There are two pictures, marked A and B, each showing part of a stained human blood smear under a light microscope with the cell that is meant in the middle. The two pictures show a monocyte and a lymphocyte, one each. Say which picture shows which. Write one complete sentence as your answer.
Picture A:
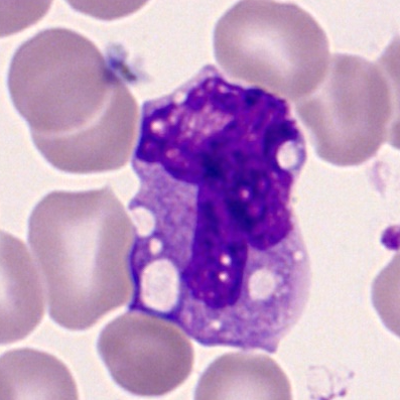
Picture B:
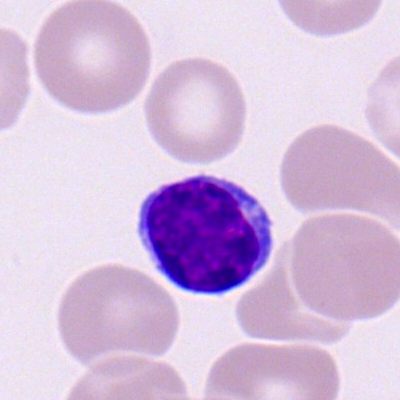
The cell in picture A is a monocyte, and the one in picture B is a lymphocyte.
